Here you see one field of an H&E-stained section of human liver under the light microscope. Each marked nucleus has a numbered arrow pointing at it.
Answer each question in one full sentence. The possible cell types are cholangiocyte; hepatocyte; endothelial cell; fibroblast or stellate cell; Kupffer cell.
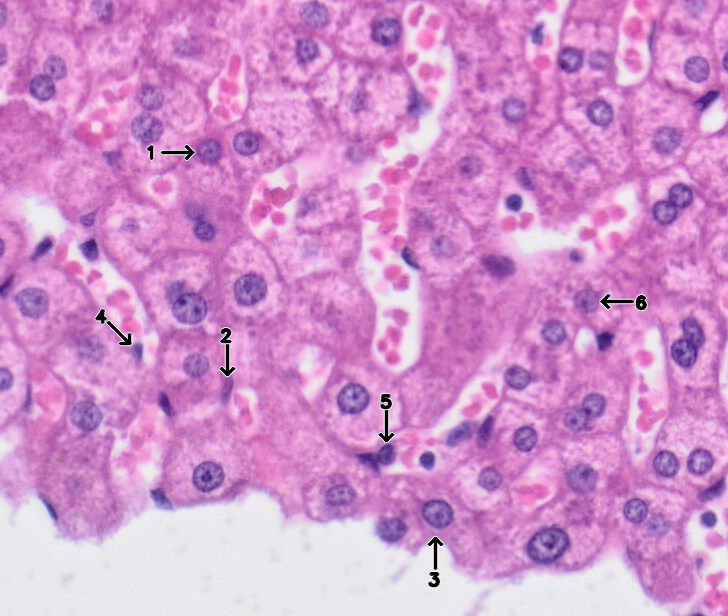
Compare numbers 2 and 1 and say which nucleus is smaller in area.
Nucleus 2 is the smaller one; nucleus 1 covers about 2 times its area.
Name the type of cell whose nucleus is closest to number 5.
Closest to number 5 lies the nucleus of a fibroblast or stellate cell.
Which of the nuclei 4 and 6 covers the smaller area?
Nucleus 4 covers less area, with nucleus 6 about 3 times as large.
